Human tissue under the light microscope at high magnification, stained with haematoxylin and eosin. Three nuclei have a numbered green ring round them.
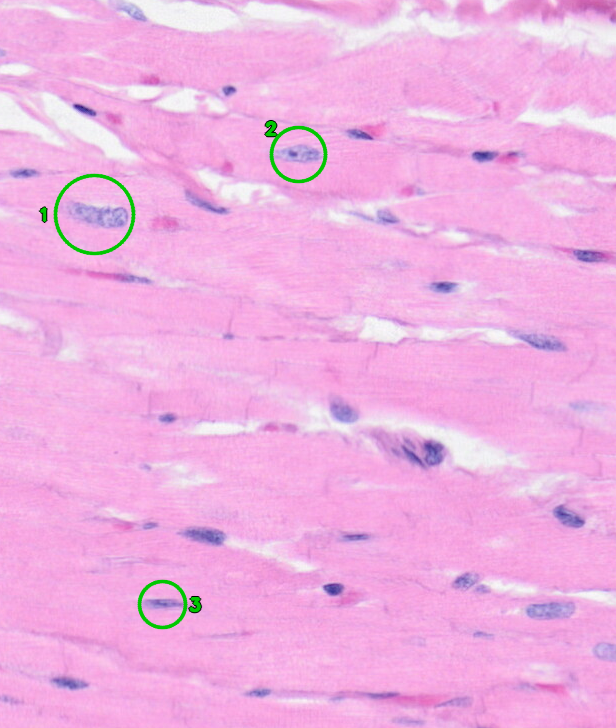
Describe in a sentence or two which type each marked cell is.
Cells 1 and 2 are cardiomyocytes. Cell 3 is an endothelial cell.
